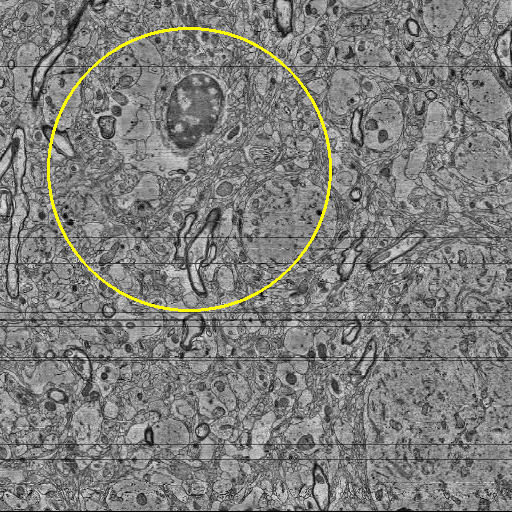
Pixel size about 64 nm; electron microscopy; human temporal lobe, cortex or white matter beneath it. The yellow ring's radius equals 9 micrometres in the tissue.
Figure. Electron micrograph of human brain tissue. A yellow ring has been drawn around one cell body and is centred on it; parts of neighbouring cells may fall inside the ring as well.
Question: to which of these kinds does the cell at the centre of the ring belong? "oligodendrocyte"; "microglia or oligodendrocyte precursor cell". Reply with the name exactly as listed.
microglia or oligodendrocyte precursor cell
